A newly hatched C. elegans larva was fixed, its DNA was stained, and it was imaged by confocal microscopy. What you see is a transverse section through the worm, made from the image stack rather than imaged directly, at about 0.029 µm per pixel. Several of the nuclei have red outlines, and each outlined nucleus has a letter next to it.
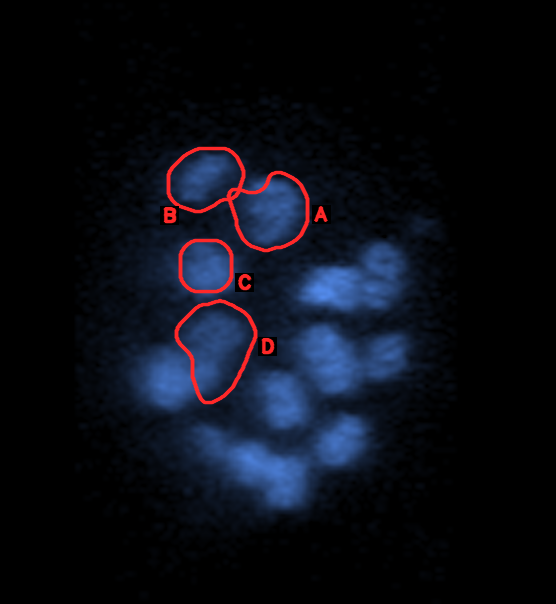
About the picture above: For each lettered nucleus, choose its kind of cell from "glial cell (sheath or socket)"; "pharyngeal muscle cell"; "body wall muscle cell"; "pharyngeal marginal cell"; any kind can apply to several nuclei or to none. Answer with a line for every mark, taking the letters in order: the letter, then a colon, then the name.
A: pharyngeal muscle cell
B: body wall muscle cell
C: pharyngeal marginal cell
D: pharyngeal muscle cell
